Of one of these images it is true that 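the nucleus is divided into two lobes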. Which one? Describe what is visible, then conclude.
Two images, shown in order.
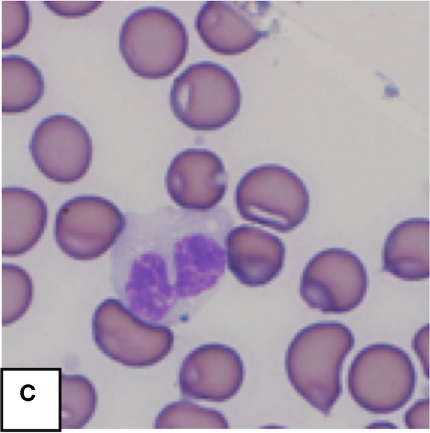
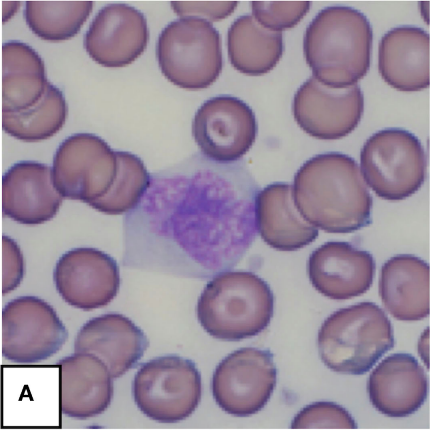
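The first image. First image: the nucleus forms two rounded lobes side by side. Second image: the nucleus is a single irregular mass.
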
